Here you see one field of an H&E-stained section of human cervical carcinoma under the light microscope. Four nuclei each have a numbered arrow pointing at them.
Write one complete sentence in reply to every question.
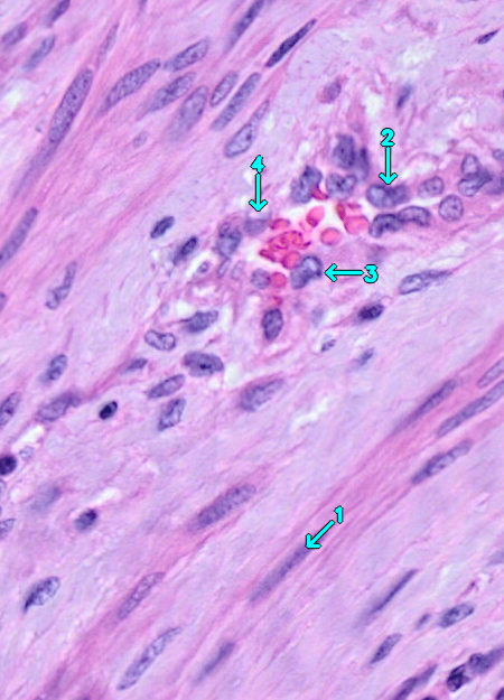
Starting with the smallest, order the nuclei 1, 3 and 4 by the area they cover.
By area, going up from the smallest, they rank 4, 3, 1.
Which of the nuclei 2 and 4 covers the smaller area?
Nucleus 4 is the smaller one; nucleus 2 covers about 2 times its area.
